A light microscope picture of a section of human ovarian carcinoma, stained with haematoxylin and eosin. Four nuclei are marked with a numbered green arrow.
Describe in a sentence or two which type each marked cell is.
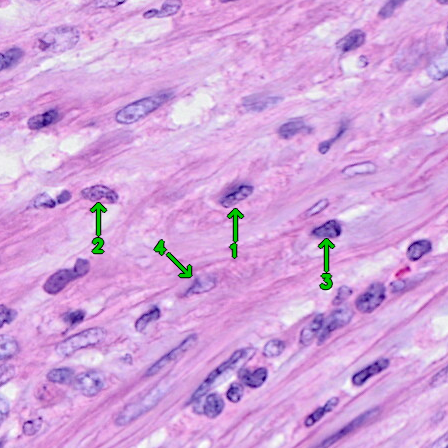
Cell 1 is a macrophage or monocyte, cell 2 is a macrophage or monocyte, cell 3 is a macrophage or monocyte and cell 4 is a fibroblast.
